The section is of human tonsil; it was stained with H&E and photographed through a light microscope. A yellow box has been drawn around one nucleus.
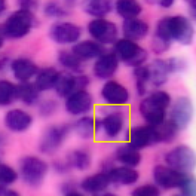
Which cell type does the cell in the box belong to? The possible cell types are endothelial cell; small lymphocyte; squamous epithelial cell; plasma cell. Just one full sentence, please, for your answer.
In this section, the cell in the box is a small lymphocyte.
